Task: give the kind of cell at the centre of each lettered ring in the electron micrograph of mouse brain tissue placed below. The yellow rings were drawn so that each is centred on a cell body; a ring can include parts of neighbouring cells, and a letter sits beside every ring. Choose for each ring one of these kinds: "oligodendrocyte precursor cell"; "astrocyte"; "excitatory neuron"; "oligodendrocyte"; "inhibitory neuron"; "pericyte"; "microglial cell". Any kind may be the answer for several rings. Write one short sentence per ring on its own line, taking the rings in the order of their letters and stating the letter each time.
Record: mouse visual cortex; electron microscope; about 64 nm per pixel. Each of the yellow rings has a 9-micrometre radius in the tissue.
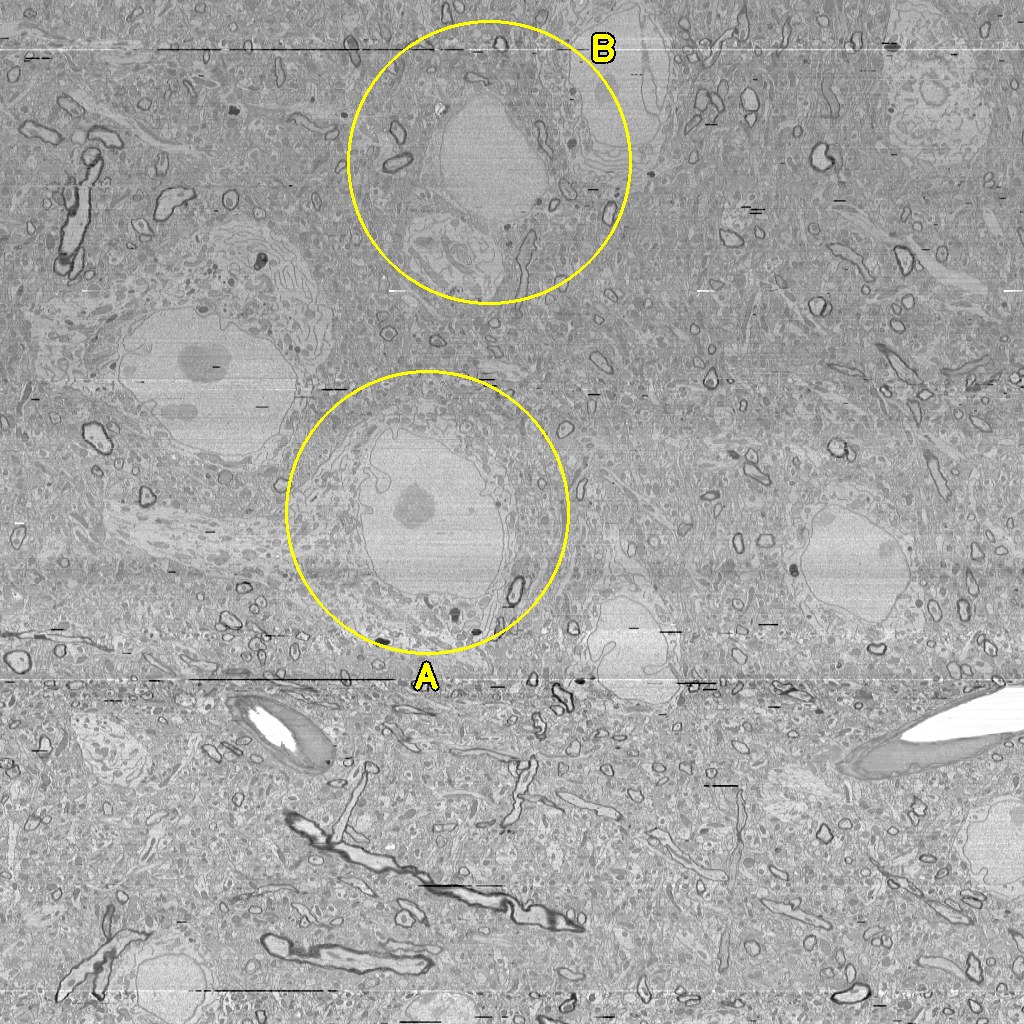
The yellow ring marked A surrounds an excitatory neuron.
The yellow ring marked B surrounds an astrocyte.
